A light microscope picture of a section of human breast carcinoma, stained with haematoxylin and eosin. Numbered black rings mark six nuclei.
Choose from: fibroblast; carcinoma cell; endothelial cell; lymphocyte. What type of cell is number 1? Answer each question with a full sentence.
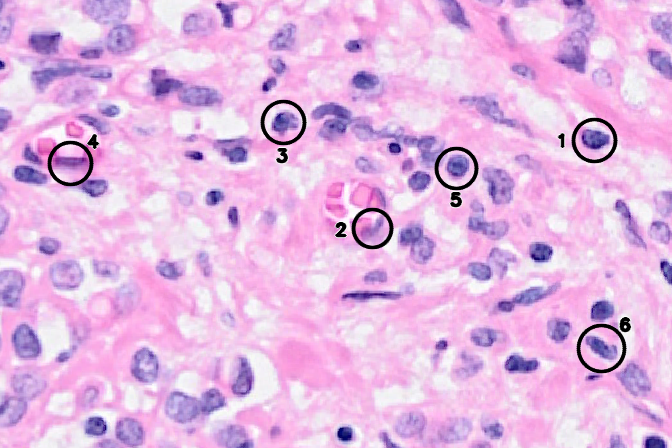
Belonging to a lymphocyte is the nucleus that carries the number 1.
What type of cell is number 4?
The cell indicated by marker 4 is an endothelial cell in this section.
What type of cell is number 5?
Among the marked cells, number 5 is a lymphocyte.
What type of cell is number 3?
The marked nucleus 3 is that of a lymphocyte.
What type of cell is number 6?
The cell assigned the number 6 is a lymphocyte.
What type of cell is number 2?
The cell assigned the number 2 is an endothelial cell.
